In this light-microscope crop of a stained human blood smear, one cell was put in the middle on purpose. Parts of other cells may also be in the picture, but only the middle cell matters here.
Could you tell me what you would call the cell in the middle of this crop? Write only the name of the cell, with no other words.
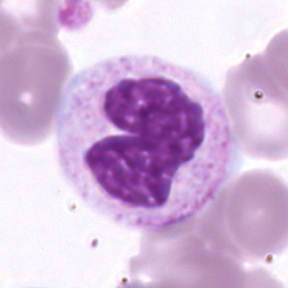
band neutrophil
